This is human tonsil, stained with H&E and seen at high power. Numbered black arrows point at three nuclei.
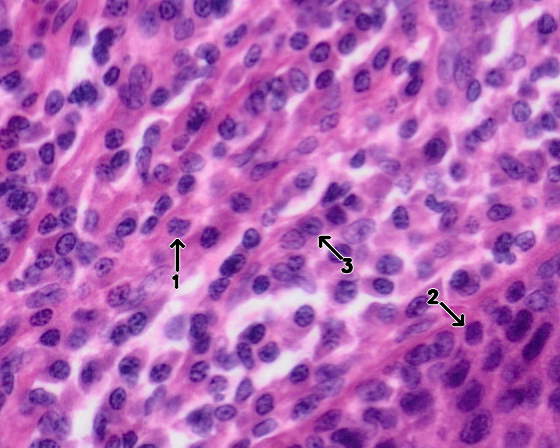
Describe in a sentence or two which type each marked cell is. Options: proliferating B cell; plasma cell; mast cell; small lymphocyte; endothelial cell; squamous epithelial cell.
Cell 1 is a mast cell. Cell 2 is a squamous epithelial cell. Cell 3 is a plasma cell.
